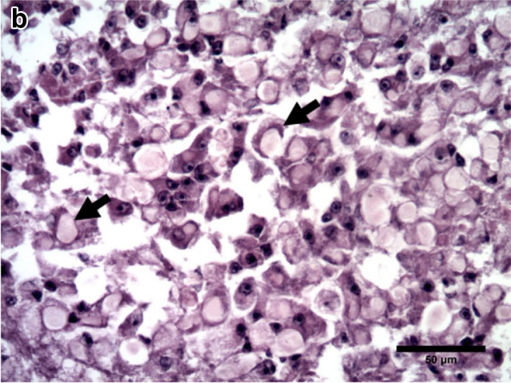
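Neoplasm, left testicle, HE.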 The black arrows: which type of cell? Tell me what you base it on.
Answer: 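The marked cells hold a large round pale vacuole filling the cytoplasm. The nucleus is pushed to the edge of the cell.
Answer: signet ring cells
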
